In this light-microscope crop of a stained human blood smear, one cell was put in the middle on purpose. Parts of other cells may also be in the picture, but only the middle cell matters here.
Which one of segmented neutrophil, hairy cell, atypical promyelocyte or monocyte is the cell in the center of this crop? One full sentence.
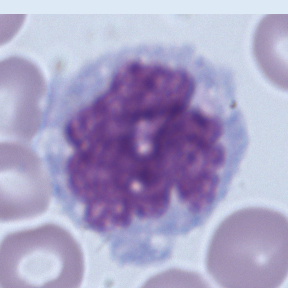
What sits at the centre of this crop is a monocyte.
